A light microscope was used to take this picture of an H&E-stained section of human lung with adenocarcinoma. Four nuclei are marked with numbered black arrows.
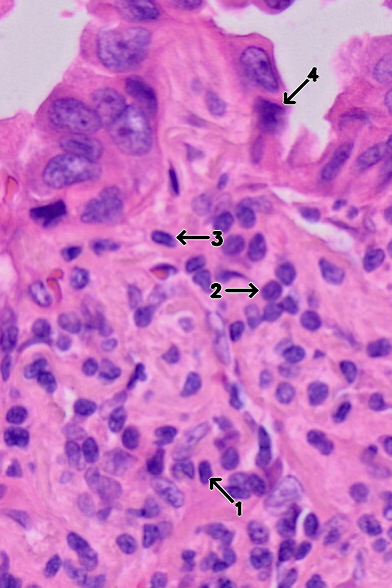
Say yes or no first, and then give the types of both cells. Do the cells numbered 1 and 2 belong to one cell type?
Yes, both are lymphocytes.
